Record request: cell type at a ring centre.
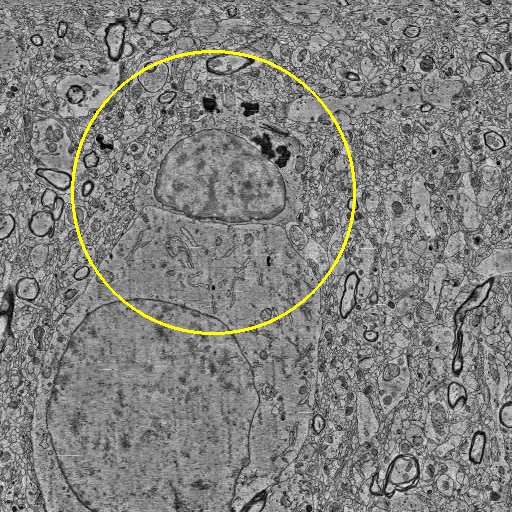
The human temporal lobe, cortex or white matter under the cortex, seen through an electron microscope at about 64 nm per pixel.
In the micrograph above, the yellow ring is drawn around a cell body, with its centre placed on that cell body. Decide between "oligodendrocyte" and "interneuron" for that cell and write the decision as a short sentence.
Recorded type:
The cell centred in the yellow ring is an oligodendrocyte.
